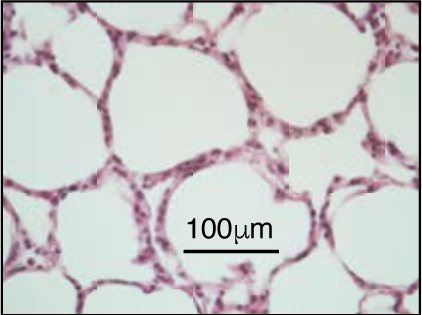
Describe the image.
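This is lung tissue stained pink and purple, where large, rounded air spaces dominate the field, each many times wider than the small compartments of a normal lung. They are bounded by thin, smooth walls of pink tissue holding a single row of elongated purple nuclei in most places, thickening a little where walls meet. Few ridges or partitions project into the spaces, so they stay wide and undivided. The tissue looks sparse, a coarse network of thin walls around big open saccules, with little subdivision of the gas-exchange surface.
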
